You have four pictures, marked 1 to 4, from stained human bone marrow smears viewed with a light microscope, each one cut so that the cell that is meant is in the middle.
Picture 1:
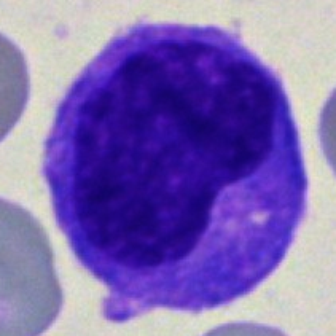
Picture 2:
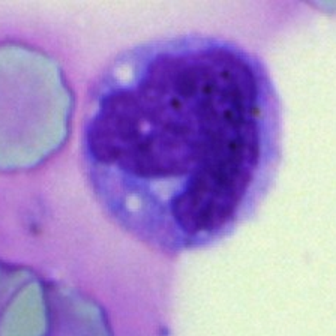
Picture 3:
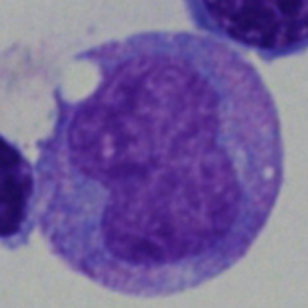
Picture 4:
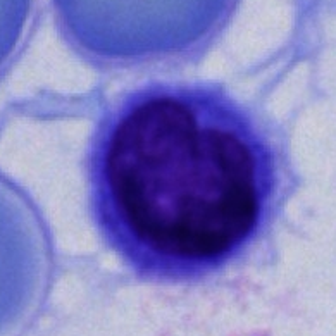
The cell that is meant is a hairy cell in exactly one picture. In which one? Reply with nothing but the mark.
4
